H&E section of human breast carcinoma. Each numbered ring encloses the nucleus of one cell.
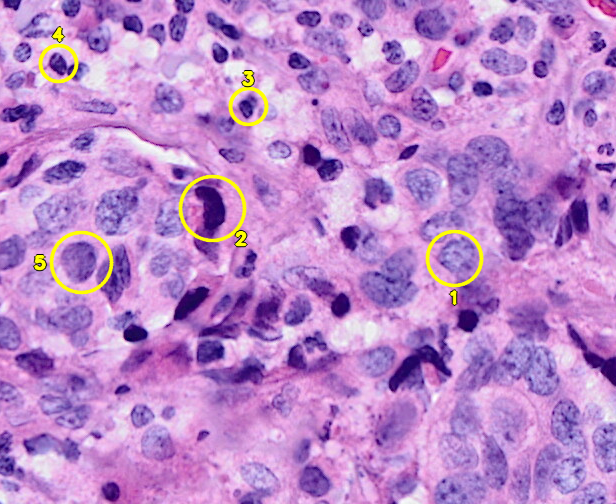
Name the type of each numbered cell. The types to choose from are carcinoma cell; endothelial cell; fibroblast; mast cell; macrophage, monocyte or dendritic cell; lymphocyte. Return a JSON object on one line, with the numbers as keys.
{"1": "carcinoma cell", "2": "carcinoma cell", "3": "lymphocyte", "4": "lymphocyte", "5": "carcinoma cell"}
